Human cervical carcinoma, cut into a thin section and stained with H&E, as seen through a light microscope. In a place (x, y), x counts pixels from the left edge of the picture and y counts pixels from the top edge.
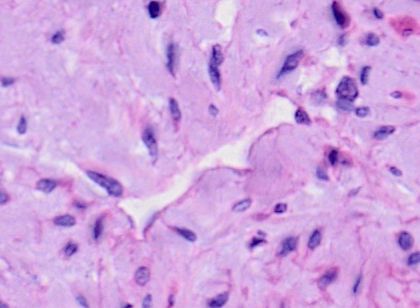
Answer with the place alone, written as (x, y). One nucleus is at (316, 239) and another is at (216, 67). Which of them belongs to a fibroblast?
(216, 67)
